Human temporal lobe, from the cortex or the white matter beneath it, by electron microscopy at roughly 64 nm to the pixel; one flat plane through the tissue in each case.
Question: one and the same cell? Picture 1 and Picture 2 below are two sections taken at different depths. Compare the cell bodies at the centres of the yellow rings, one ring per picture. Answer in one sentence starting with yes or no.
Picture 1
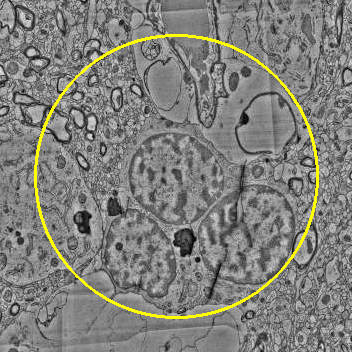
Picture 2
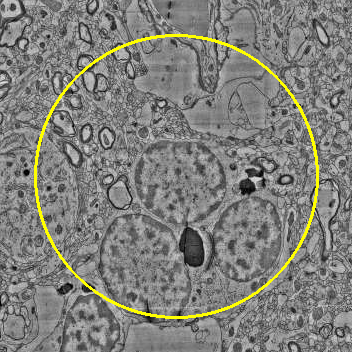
Yes, the cell inside the first ring is the cell inside the second.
